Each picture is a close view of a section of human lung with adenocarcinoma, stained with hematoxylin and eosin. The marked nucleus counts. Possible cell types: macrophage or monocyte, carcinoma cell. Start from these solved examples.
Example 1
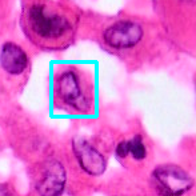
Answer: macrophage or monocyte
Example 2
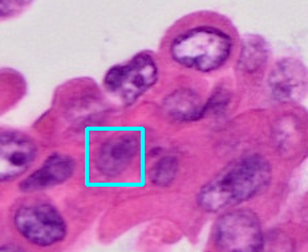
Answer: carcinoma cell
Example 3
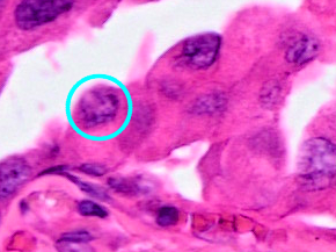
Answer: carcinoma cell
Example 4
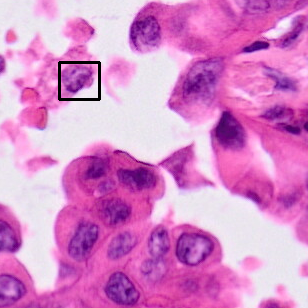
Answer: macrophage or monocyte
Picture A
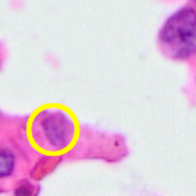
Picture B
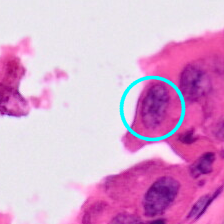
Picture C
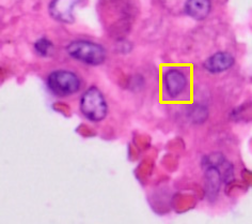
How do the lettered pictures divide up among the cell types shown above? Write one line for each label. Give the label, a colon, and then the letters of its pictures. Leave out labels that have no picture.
macrophage or monocyte: A, C
carcinoma cell: B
